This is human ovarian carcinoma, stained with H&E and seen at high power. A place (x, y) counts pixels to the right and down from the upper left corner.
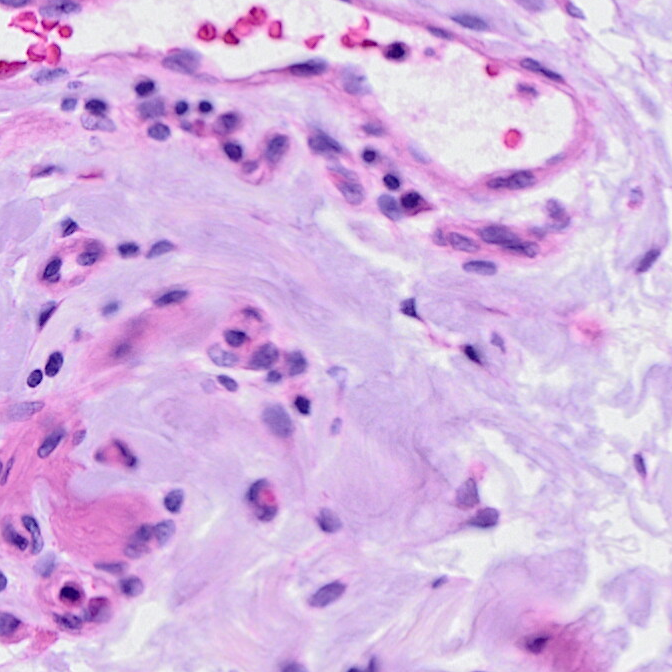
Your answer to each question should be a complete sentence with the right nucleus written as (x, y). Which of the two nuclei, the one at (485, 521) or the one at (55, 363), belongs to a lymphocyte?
The nucleus that belongs to a lymphocyte sits at (55, 363).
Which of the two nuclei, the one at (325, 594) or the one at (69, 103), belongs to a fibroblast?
The nucleus that belongs to a fibroblast sits at (325, 594).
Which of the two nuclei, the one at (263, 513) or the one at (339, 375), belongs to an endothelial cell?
The nucleus belonging to an endothelial cell is the one at (263, 513).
